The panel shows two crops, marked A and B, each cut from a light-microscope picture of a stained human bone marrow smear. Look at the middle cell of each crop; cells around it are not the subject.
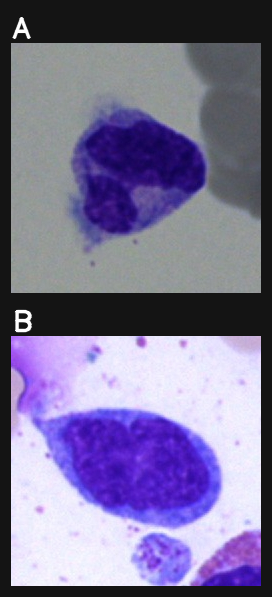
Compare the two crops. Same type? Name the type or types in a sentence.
Yes, at the centre of both crops are monocytes.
